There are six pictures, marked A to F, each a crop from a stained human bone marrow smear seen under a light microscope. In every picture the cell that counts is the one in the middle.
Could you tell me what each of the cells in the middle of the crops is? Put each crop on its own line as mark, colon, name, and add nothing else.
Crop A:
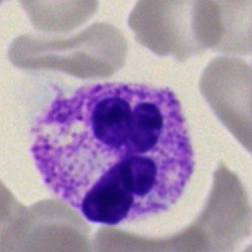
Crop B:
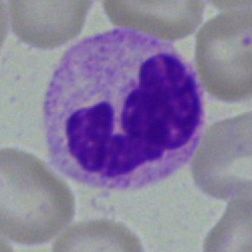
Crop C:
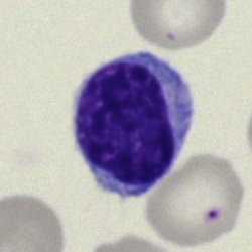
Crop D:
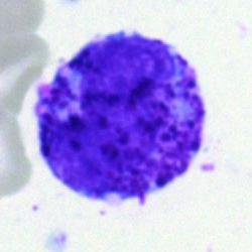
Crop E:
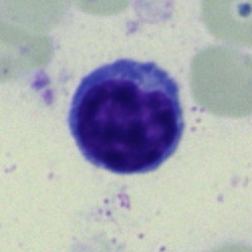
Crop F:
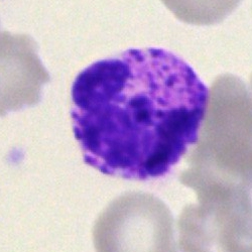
A: segmented neutrophil
B: segmented neutrophil
C: lymphocyte
D: basophil
E: lymphocyte
F: basophil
